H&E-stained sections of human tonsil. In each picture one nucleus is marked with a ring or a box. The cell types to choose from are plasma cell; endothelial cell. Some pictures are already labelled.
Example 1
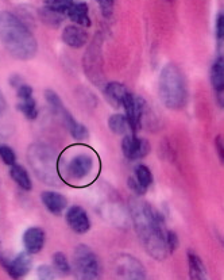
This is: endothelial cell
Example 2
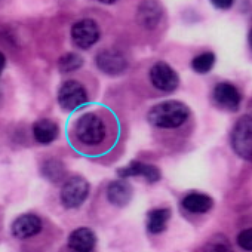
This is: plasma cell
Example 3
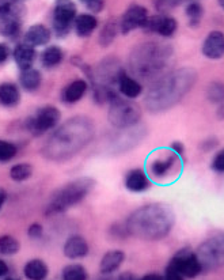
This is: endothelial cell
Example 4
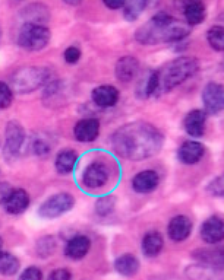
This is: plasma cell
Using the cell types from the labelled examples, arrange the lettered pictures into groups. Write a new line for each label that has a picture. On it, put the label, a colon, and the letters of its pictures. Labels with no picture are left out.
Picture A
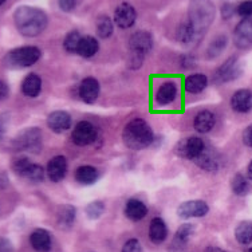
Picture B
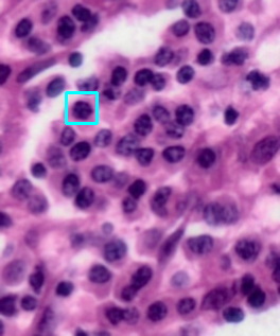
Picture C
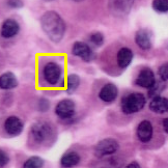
plasma cell: A, B, C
